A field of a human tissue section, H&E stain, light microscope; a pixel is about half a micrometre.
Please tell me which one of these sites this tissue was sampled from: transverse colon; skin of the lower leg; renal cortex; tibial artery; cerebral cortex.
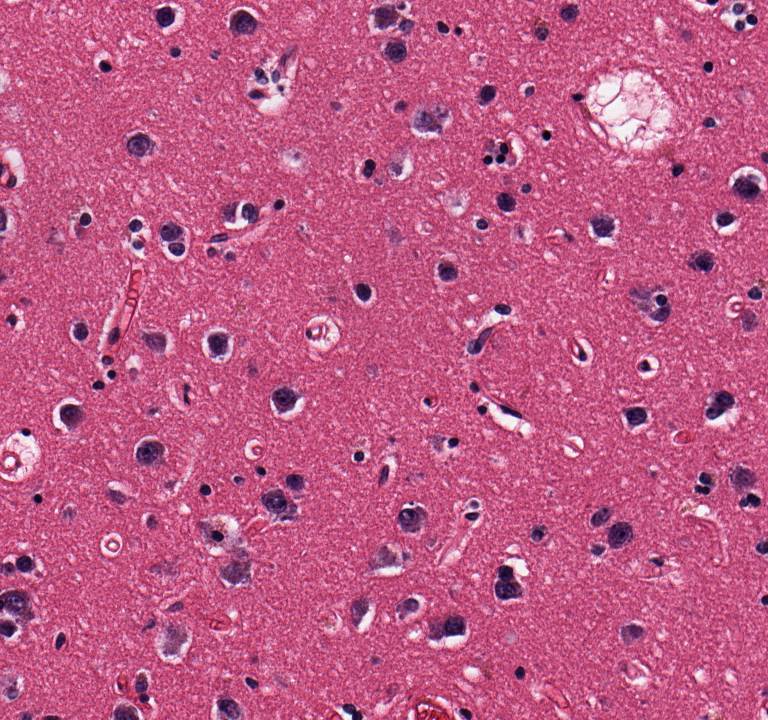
cerebral cortex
